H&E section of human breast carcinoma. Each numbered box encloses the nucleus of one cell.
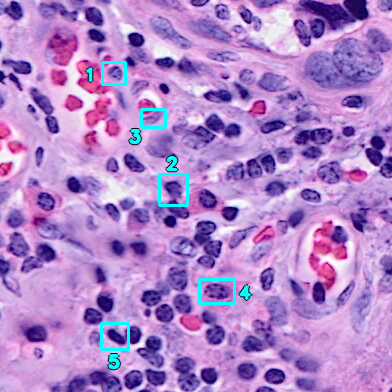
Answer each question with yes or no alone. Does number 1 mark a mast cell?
no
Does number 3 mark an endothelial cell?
yes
